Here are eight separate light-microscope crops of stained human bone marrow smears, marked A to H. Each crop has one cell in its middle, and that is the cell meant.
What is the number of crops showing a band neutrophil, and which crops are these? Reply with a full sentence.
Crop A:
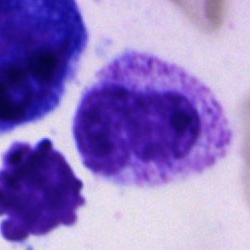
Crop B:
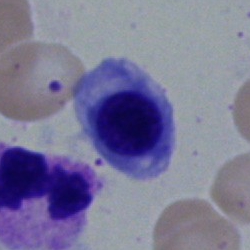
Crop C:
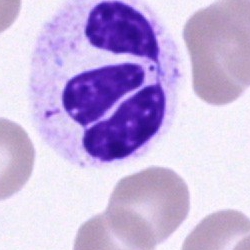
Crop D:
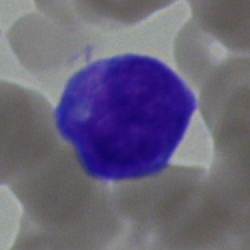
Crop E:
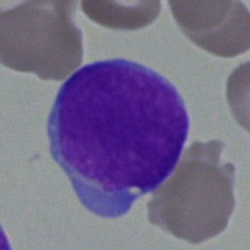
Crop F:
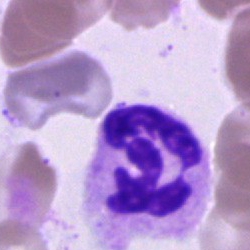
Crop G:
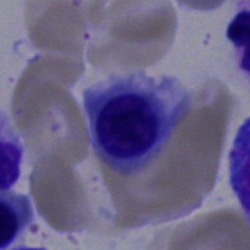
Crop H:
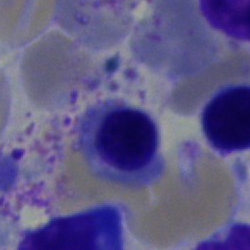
Of all the crops, crop A is the one containing a band neutrophil.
